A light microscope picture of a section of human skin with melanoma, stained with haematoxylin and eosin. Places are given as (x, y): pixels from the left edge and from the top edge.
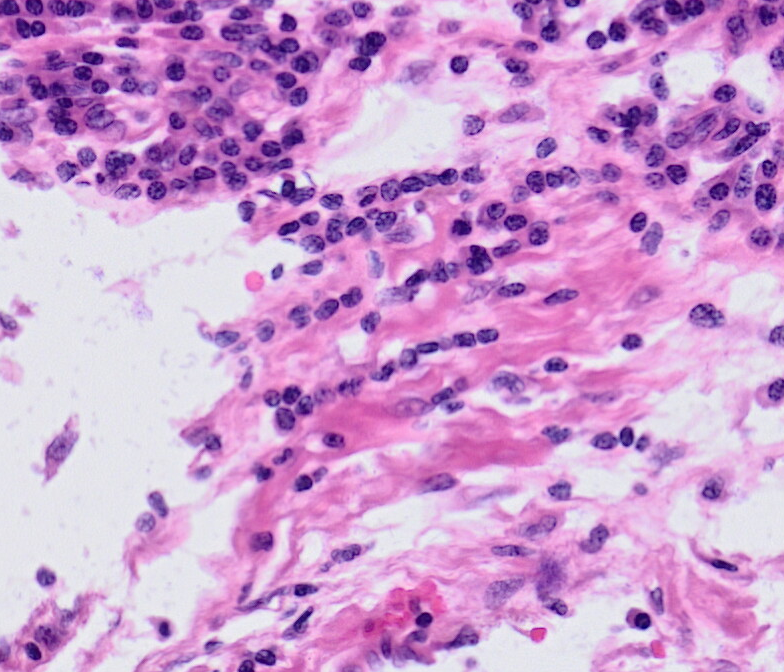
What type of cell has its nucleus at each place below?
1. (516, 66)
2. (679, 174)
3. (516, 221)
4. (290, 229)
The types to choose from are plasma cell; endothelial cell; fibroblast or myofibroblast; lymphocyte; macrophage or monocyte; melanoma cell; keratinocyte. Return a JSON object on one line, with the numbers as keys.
{"1": "plasma cell", "2": "plasma cell", "3": "plasma cell", "4": "lymphocyte"}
